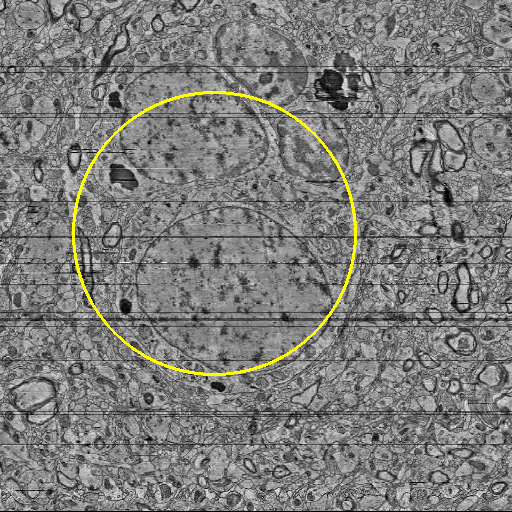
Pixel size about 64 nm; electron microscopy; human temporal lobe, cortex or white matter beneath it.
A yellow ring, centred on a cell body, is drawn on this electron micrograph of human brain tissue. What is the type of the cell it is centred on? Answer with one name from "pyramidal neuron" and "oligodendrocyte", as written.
pyramidal neuron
